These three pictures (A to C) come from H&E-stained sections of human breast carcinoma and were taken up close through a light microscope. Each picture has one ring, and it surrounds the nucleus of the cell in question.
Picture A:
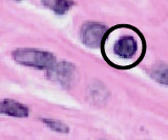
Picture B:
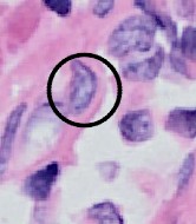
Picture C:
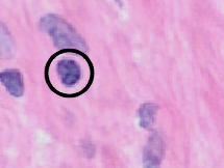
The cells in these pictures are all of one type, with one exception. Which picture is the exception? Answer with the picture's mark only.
B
